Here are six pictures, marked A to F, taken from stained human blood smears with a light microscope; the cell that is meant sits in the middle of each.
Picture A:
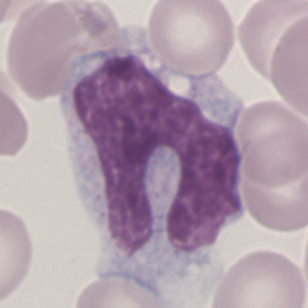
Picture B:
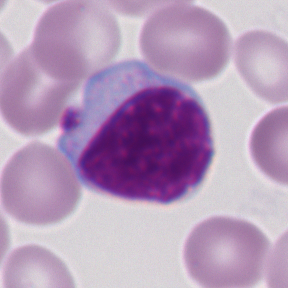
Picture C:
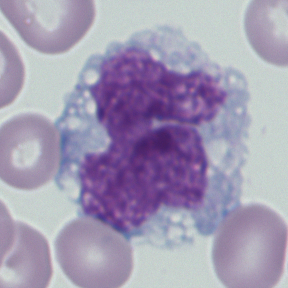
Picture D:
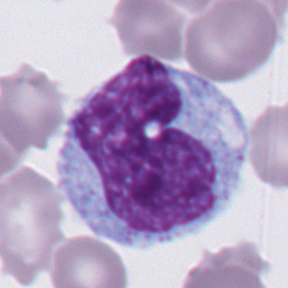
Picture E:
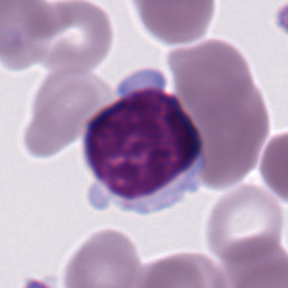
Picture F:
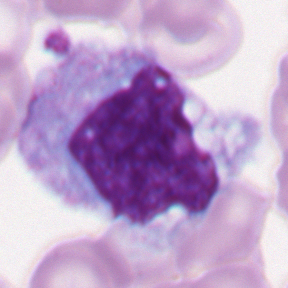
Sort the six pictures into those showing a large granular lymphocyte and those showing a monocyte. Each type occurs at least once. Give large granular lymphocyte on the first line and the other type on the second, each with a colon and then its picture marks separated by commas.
large granular lymphocyte: B, E
monocyte: A, C, D, F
